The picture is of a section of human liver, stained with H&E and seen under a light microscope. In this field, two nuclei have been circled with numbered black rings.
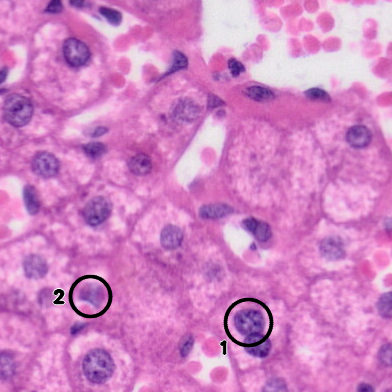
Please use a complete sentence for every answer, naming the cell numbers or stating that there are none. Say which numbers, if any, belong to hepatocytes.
Of those with numbers, only cell 1 is a hepatocyte.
